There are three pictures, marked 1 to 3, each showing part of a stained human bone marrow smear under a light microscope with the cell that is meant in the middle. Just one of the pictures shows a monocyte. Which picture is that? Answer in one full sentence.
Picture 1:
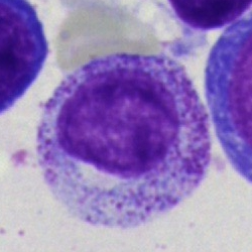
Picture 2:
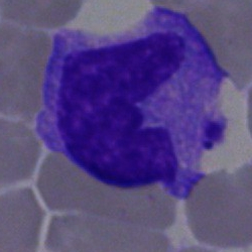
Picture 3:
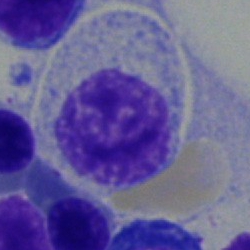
Picture 2 shows the monocyte.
